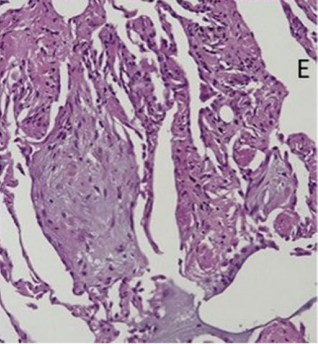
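Lung tissue at higher magnification showing airspaces filled by pale, oval plugs of loose tissue. The plugs contain elongated spindle cells with slender nuclei set in a light, faintly bluish-grey matrix, rather than dense pink collagen. The appearance is of young fibroblastic tissue growing as polyp-like buds inside alveoli, in an organizing pneumonia pattern.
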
